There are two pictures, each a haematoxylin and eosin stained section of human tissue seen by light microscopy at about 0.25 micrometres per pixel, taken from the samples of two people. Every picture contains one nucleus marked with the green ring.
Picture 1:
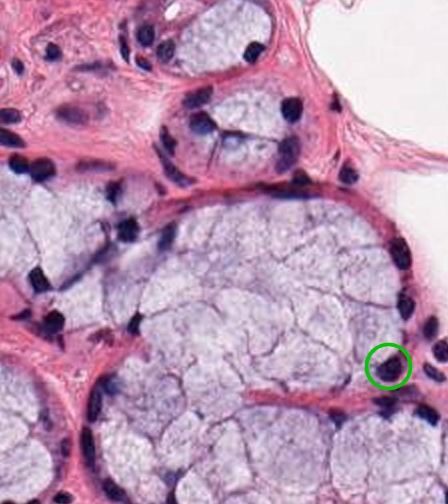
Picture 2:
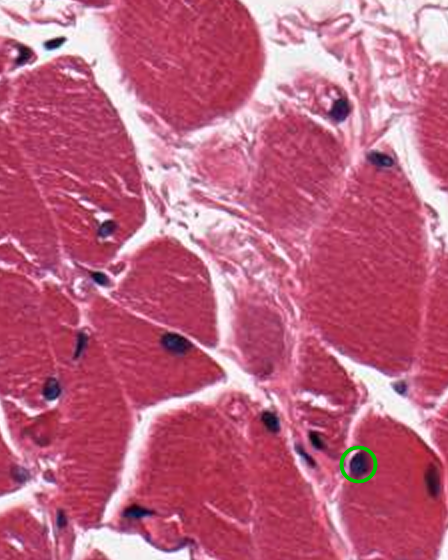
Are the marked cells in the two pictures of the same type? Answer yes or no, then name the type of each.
No, the first is a mucous gland cell and the second a skeletal muscle fibre.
